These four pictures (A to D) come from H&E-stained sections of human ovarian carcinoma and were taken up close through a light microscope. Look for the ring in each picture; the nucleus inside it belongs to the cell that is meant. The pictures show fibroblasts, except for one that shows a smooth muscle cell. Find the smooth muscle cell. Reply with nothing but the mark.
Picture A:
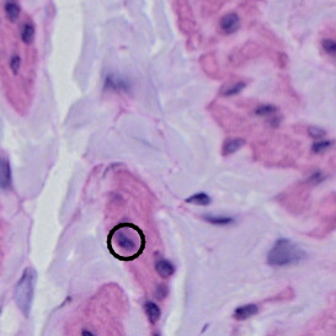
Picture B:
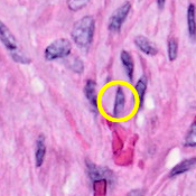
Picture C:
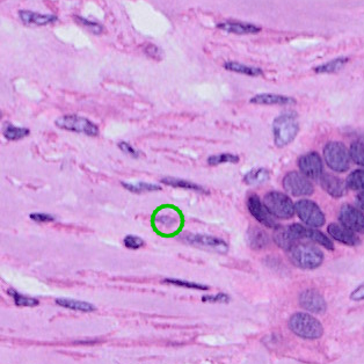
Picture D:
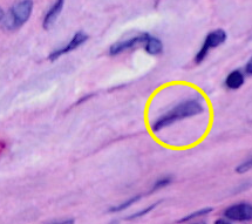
A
